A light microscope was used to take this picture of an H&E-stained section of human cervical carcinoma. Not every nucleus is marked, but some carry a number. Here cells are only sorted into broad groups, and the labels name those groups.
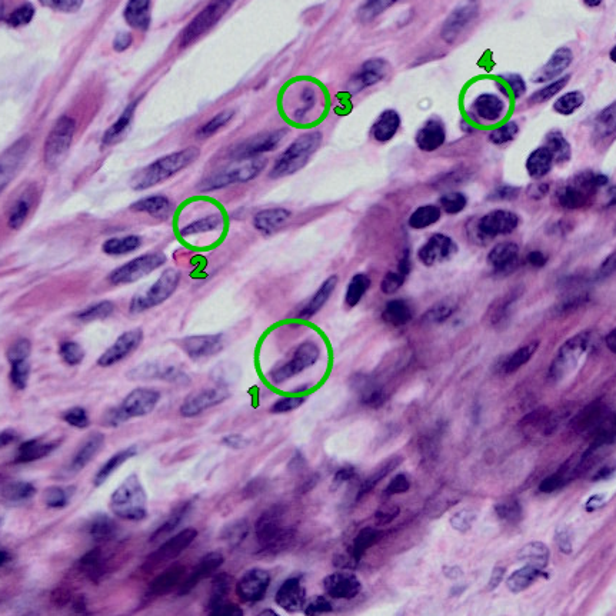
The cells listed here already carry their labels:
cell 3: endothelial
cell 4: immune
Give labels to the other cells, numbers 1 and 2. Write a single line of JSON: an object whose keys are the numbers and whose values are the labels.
{"1": "immune", "2": "endothelial"}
